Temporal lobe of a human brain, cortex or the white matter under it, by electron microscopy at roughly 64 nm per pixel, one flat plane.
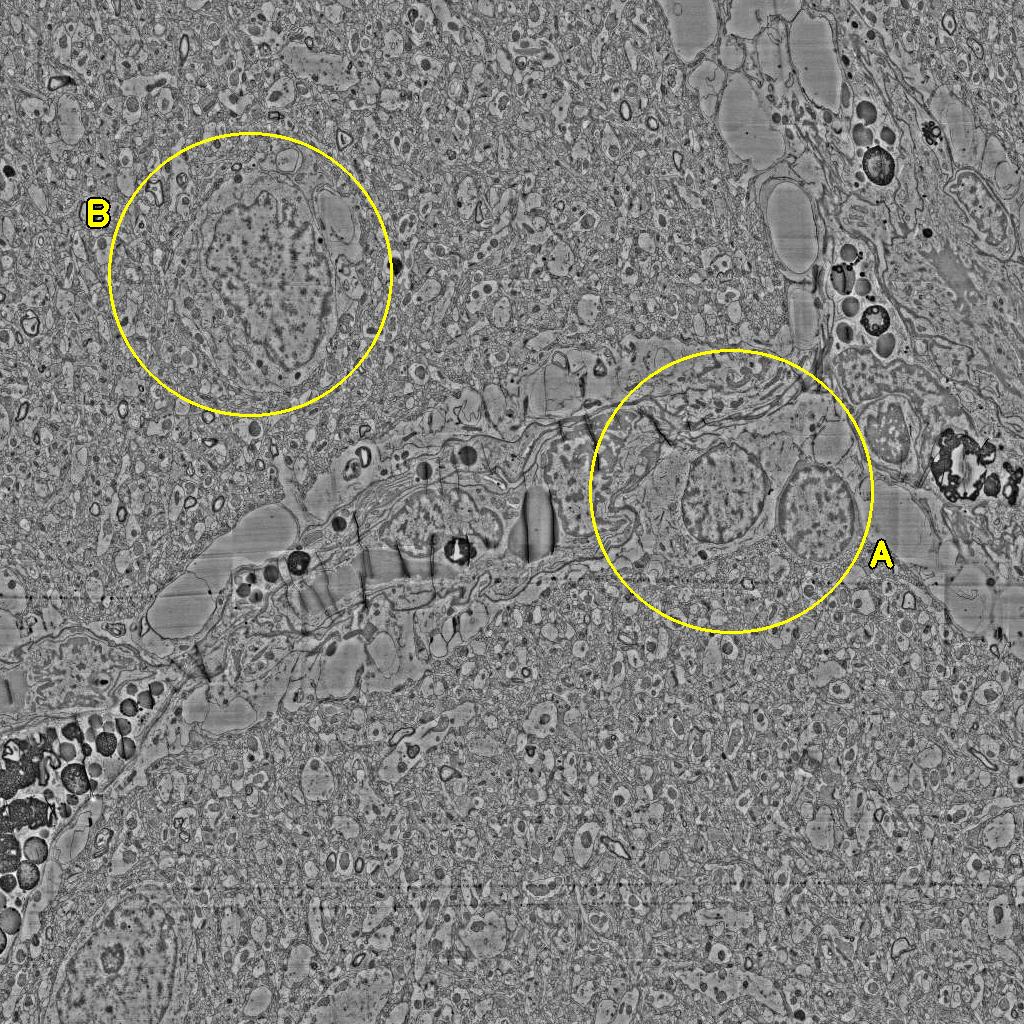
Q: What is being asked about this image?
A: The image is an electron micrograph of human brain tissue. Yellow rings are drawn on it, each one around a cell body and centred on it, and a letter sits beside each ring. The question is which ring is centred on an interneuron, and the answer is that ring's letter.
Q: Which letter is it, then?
B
